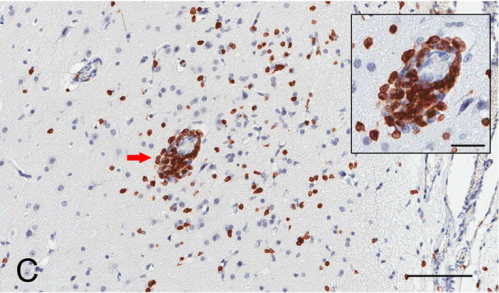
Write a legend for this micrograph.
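Most brown cells are small and round or slightly elongated, and they lie singly throughout the tissue rather than in one place. Around a small blood vessel they pack densely, forming a thick cuff several cells deep that surrounds the vessel lumen. The background neuropil is pale and finely textured, and the unstained nuclei of resident brain cells are larger and lighter blue than the brown cells. At the edge of the field some thin vessel walls and looser tissue are seen.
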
